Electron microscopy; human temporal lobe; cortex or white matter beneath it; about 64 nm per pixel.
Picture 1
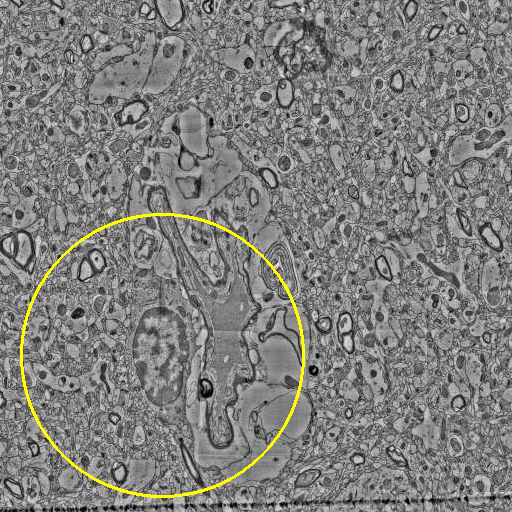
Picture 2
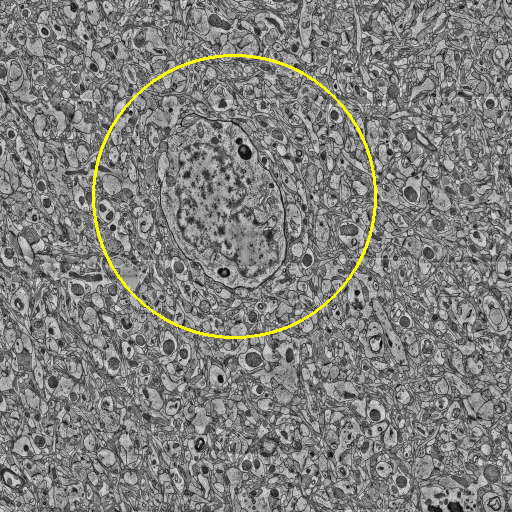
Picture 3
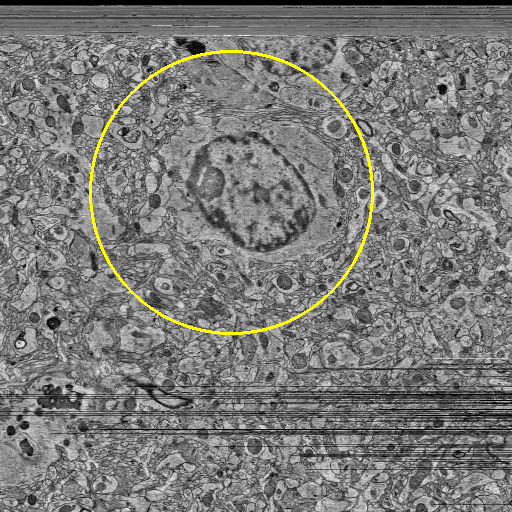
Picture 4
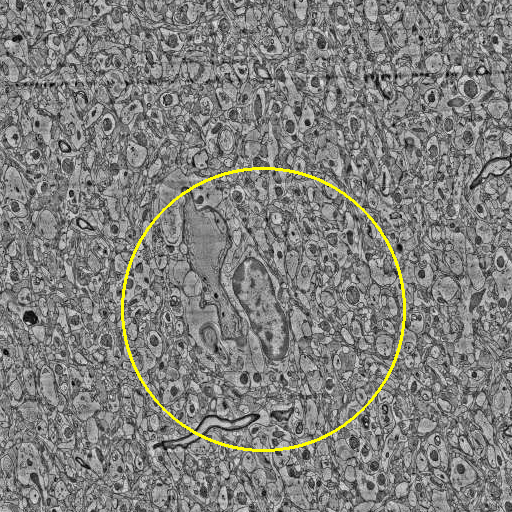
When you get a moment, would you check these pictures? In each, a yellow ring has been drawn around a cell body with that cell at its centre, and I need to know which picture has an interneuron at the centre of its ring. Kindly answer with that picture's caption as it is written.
Picture 2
